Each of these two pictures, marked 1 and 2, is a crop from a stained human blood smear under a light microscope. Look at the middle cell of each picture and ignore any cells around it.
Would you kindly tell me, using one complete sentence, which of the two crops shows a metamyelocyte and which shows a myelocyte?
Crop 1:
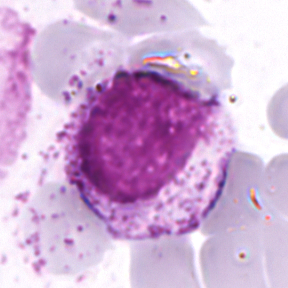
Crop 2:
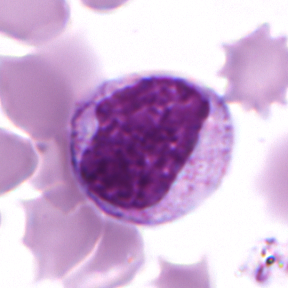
Crop 1 is a myelocyte, whilst crop 2 is a metamyelocyte.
